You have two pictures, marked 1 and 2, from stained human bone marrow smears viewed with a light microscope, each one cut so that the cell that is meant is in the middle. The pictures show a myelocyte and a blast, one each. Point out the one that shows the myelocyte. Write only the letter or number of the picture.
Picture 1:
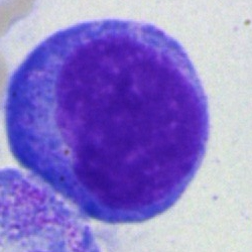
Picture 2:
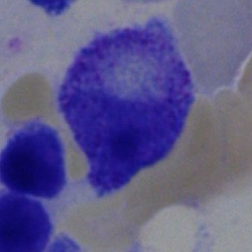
2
